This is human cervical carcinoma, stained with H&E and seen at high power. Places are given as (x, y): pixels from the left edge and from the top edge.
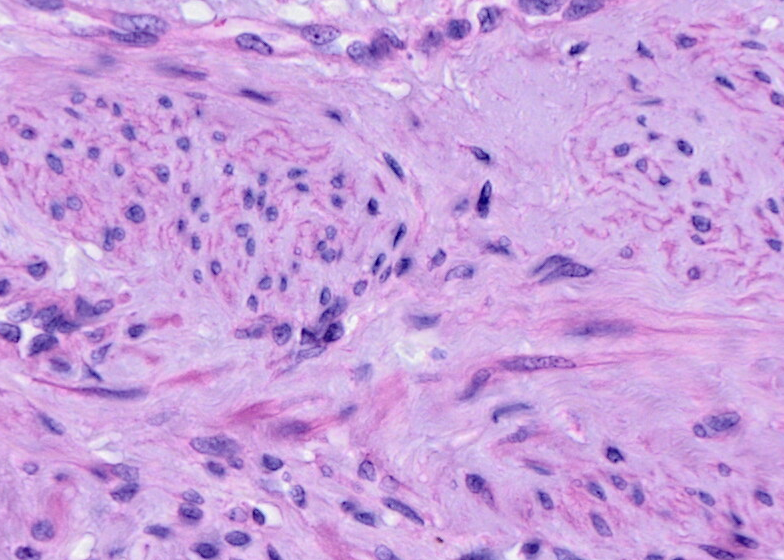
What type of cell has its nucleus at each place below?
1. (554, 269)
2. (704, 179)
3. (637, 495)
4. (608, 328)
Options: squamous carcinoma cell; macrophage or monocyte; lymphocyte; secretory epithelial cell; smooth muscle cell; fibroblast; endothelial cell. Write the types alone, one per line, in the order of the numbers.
fibroblast
smooth muscle cell
smooth muscle cell
smooth muscle cell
